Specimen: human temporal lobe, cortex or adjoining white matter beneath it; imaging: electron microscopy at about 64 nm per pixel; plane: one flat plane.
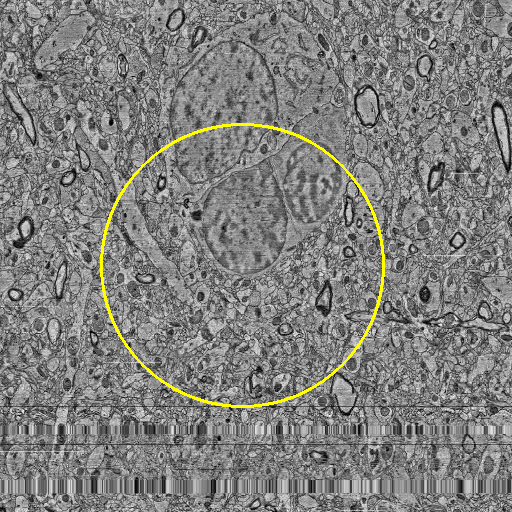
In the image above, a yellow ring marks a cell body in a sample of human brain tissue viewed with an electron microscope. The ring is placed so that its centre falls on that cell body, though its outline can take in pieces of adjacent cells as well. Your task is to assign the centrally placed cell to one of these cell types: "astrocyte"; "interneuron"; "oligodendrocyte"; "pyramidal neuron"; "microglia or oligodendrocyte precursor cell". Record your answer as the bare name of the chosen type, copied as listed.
oligodendrocyte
